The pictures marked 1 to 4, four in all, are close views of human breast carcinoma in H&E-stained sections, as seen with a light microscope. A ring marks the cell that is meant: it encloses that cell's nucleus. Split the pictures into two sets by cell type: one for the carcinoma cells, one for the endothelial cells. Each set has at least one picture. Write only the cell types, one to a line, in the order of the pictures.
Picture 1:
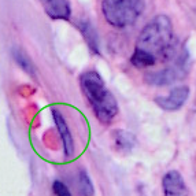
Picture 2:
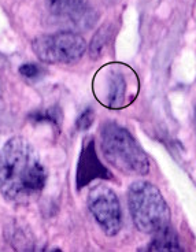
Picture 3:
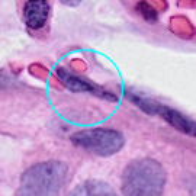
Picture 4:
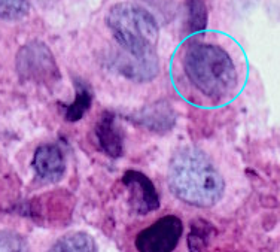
endothelial cell
endothelial cell
endothelial cell
carcinoma cell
